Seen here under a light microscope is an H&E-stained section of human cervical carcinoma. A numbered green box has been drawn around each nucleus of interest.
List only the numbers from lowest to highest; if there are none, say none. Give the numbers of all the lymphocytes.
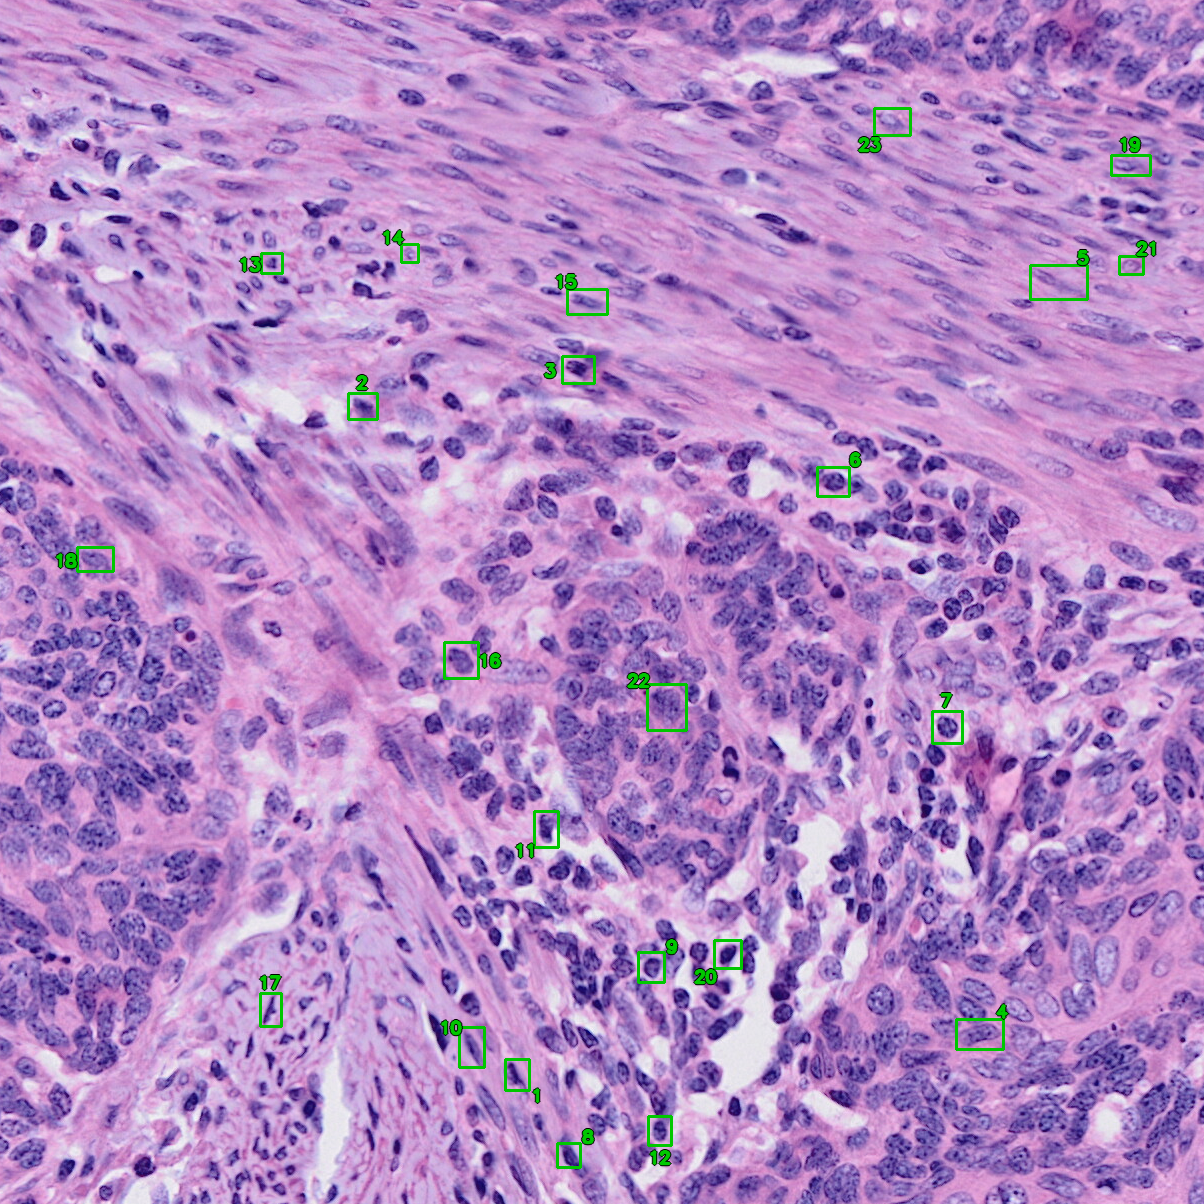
1, 2, 3, 6, 7, 8, 9, 11, 12, 16, 20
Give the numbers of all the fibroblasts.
10, 15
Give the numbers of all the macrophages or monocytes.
none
